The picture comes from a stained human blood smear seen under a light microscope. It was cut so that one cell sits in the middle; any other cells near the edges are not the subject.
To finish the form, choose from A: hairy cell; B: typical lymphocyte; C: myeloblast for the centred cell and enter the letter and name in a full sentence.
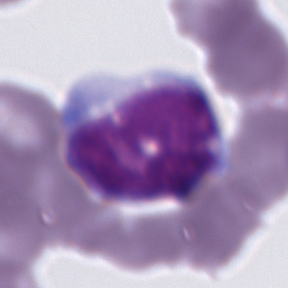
The cell at the heart of the crop is a myeloblast, so choose option C.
